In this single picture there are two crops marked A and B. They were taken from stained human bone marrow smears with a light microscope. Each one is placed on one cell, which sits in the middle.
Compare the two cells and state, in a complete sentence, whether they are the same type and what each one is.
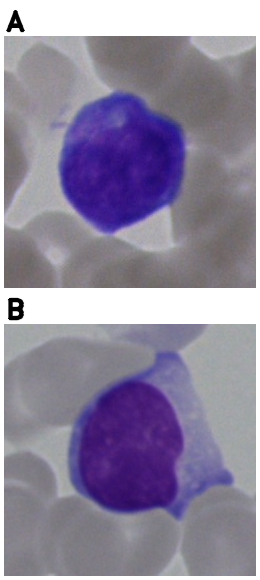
No, that is not right; crop A shows a blast and crop B shows a lymphocyte.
